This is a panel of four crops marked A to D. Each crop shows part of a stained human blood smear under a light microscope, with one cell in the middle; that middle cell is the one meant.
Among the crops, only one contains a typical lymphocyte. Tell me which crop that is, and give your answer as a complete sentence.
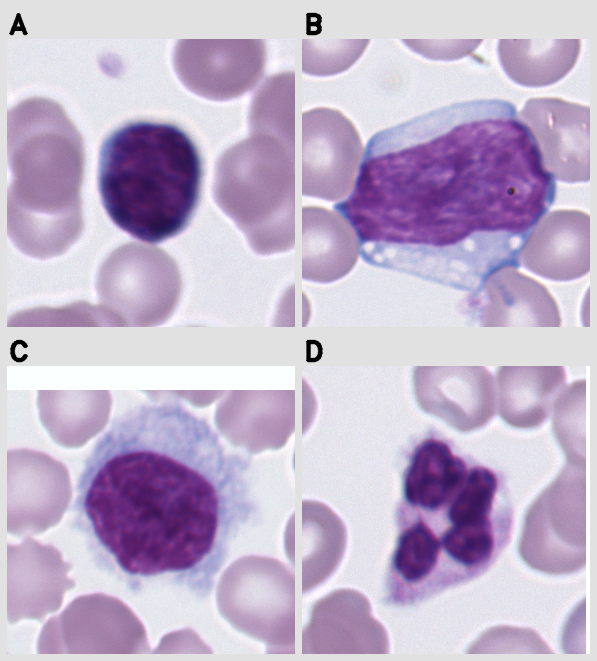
Crop A, of the crops presented, is the one showing a typical lymphocyte.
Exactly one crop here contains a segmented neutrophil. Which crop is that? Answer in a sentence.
It is in crop D, among all the crops, that a segmented neutrophil is present.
